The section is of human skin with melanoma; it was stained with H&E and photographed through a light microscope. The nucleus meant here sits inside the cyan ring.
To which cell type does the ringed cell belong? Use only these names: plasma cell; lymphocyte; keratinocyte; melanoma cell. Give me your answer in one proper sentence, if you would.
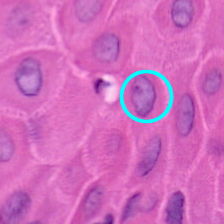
Typologically, the ringed cell is a keratinocyte in this section.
